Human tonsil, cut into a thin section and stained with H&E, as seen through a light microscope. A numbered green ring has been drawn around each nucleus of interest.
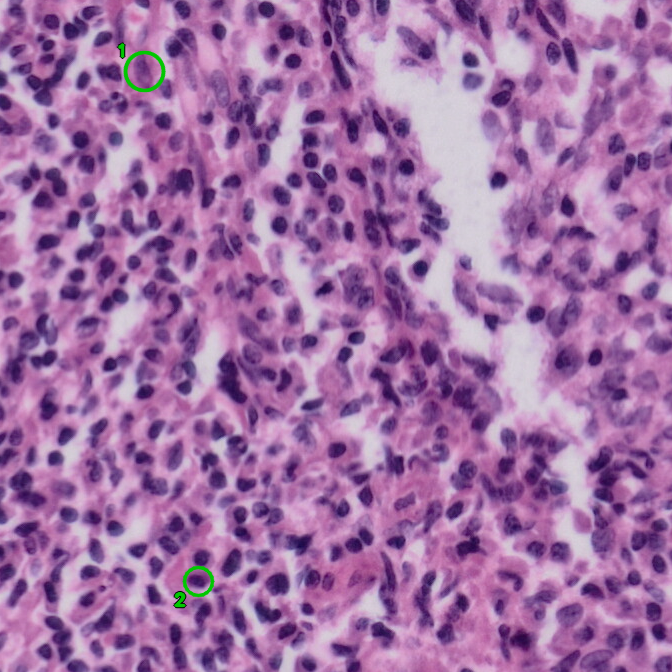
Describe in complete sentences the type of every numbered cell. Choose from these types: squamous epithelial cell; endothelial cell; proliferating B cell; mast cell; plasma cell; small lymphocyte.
Cell 1 is an endothelial cell. Cell 2 is a plasma cell.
